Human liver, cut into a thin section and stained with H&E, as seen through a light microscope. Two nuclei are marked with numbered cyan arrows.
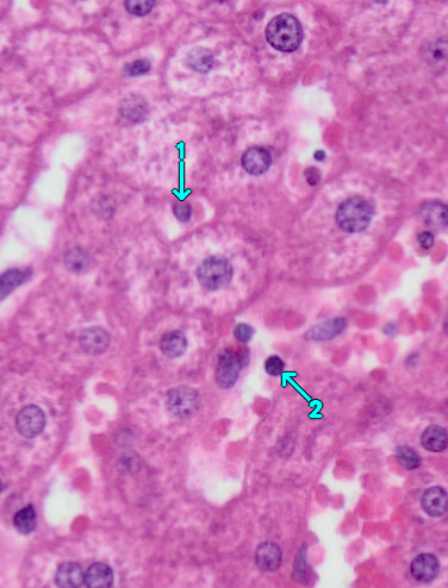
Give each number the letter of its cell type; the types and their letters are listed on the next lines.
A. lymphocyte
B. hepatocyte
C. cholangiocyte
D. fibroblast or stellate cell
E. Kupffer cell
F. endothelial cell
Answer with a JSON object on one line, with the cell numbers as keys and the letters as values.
{"1": "E", "2": "A"}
